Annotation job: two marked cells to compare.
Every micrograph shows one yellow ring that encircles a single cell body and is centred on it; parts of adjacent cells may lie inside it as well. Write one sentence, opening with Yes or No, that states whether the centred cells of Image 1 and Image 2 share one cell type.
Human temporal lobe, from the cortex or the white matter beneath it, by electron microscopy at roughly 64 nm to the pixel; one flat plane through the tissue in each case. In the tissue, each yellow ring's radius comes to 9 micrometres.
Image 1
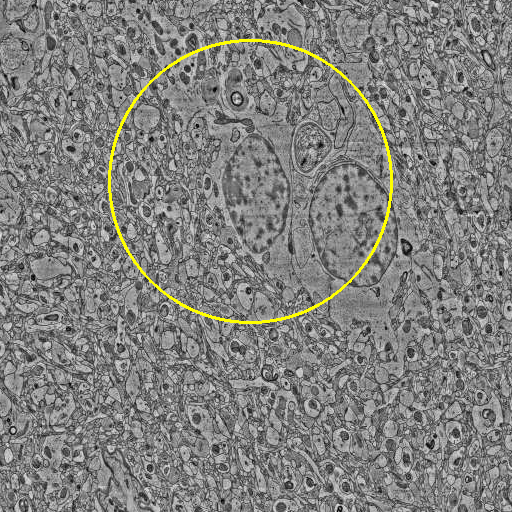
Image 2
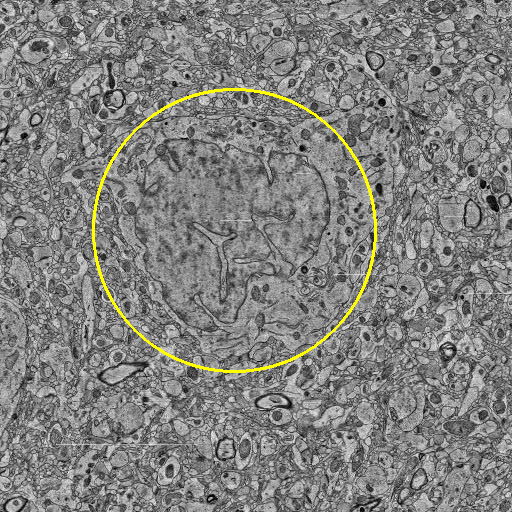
No, the cell centred in Image 1 and the cell centred in Image 2 are of two types.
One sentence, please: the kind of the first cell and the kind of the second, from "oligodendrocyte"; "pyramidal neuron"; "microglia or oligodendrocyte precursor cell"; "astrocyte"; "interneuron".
The ring in the first picture surrounds an astrocyte, and the ring in the second surrounds an interneuron.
